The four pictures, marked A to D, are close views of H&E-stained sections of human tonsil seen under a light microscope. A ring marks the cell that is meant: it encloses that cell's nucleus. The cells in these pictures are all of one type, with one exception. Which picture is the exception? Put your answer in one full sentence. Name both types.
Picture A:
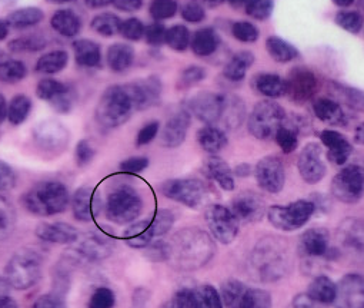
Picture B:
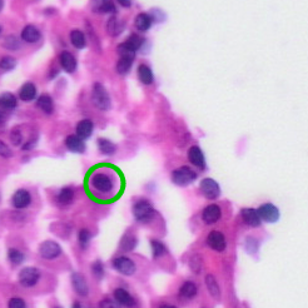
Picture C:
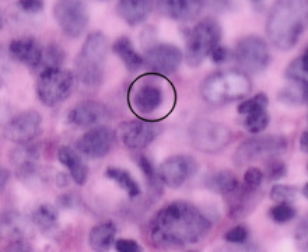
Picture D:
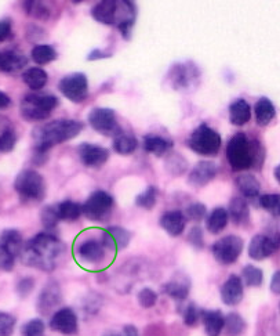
The different one is picture B; it shows a plasma cell, whereas all the others show proliferating B cells.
